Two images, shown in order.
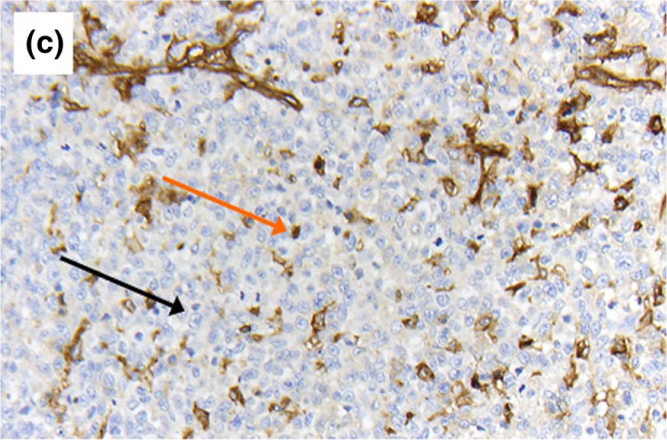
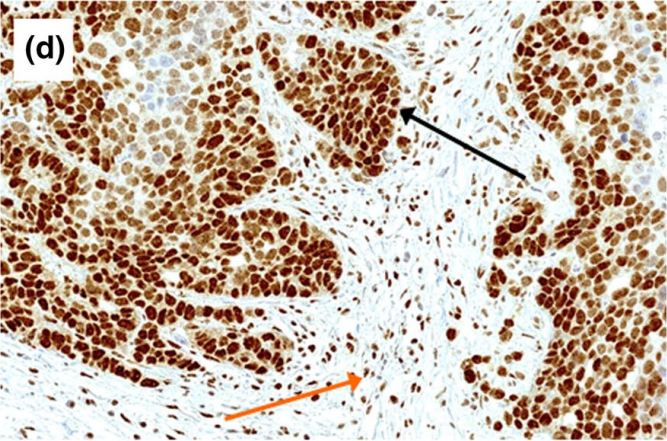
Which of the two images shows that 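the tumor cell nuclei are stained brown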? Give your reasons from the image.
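Second image: nearly all nuclei in the tumor nests are dark brown. That points to this answer: the second image.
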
